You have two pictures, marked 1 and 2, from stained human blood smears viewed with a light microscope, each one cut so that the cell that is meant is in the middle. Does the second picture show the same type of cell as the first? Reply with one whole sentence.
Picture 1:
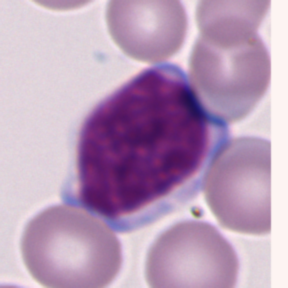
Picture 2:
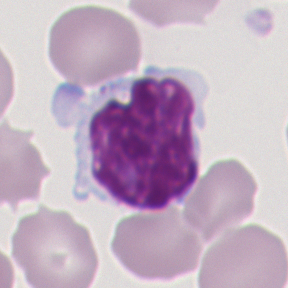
Yes, they are the same type: both are typical lymphocytes.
